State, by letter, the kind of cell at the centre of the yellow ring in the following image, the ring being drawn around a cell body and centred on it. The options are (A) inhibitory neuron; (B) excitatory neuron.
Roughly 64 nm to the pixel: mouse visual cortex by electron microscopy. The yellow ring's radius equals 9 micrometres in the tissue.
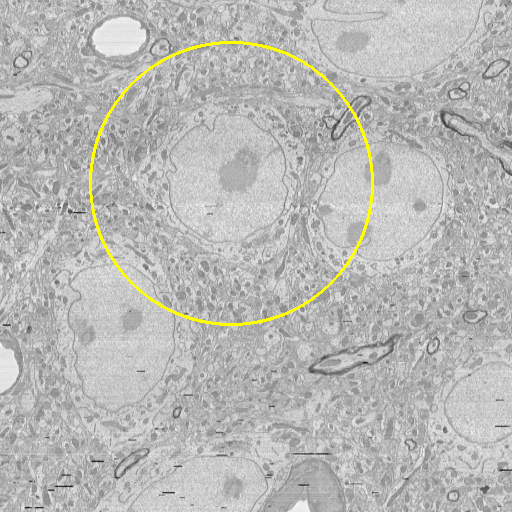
B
